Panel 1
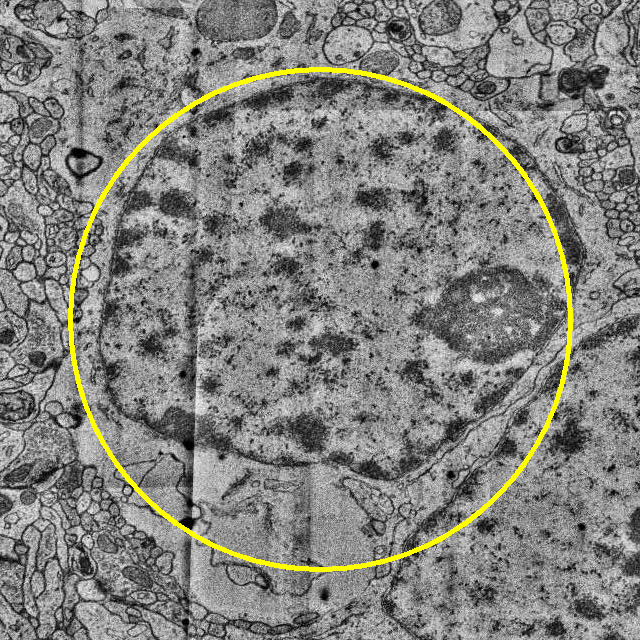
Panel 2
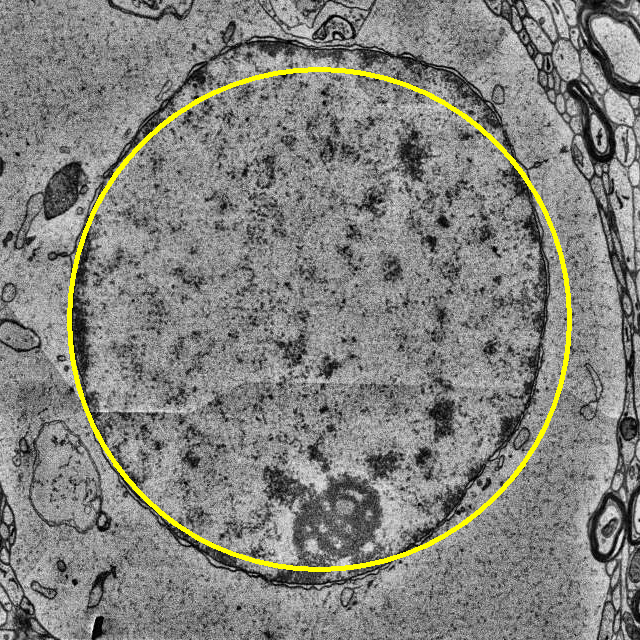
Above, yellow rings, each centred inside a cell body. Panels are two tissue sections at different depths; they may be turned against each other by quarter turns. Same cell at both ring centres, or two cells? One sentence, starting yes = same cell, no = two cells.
No, one ring marks one cell and the other ring marks another.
